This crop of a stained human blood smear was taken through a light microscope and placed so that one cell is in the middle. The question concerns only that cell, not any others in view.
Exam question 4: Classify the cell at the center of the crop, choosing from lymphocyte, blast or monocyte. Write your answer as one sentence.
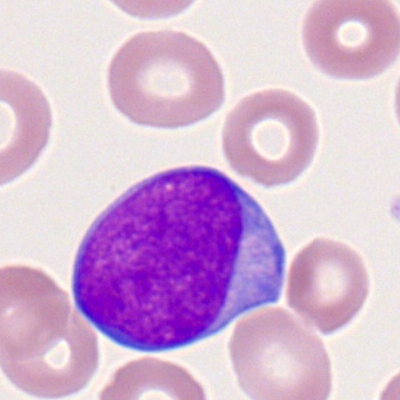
The cell in the exact centre of the crop is a blast.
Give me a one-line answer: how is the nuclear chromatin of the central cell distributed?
Heads up, the chromatin is fine with no coarse clumps in it.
